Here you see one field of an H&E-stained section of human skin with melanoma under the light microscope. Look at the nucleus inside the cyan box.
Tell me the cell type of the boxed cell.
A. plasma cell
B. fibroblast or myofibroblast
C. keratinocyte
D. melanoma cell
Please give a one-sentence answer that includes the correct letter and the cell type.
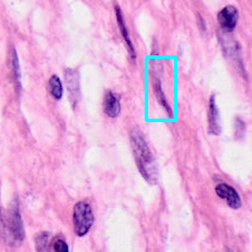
Option B is right in classifying the boxed cell as a fibroblast or myofibroblast.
